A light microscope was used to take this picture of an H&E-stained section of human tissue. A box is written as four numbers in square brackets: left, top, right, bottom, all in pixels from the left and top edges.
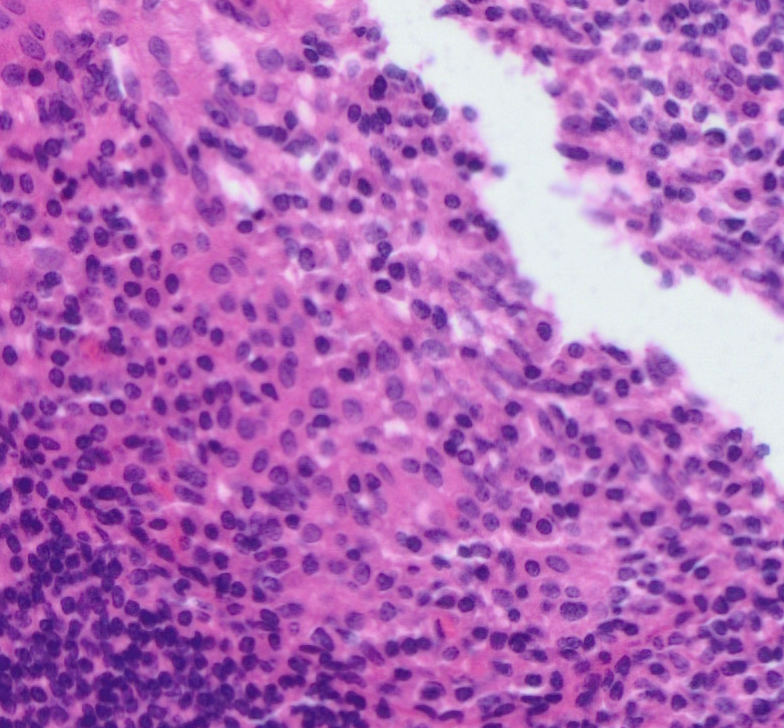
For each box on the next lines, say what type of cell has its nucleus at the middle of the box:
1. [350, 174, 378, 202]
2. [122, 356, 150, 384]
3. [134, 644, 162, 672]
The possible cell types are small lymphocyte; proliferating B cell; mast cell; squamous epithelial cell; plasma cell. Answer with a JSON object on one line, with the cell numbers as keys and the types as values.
{"1": "plasma cell", "2": "plasma cell", "3": "small lymphocyte"}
